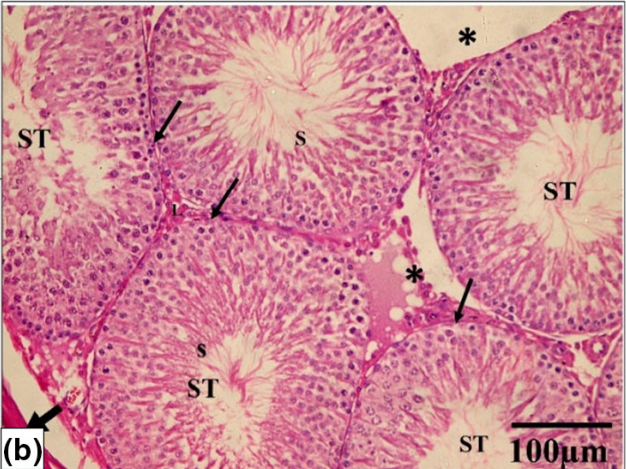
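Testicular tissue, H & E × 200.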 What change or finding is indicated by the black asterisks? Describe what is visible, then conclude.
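The asterisks lie in broad spaces between neighbouring tubules. These spaces are wider than the narrow gaps elsewhere between tubules. On this evidence: wide interstitial tissue.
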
